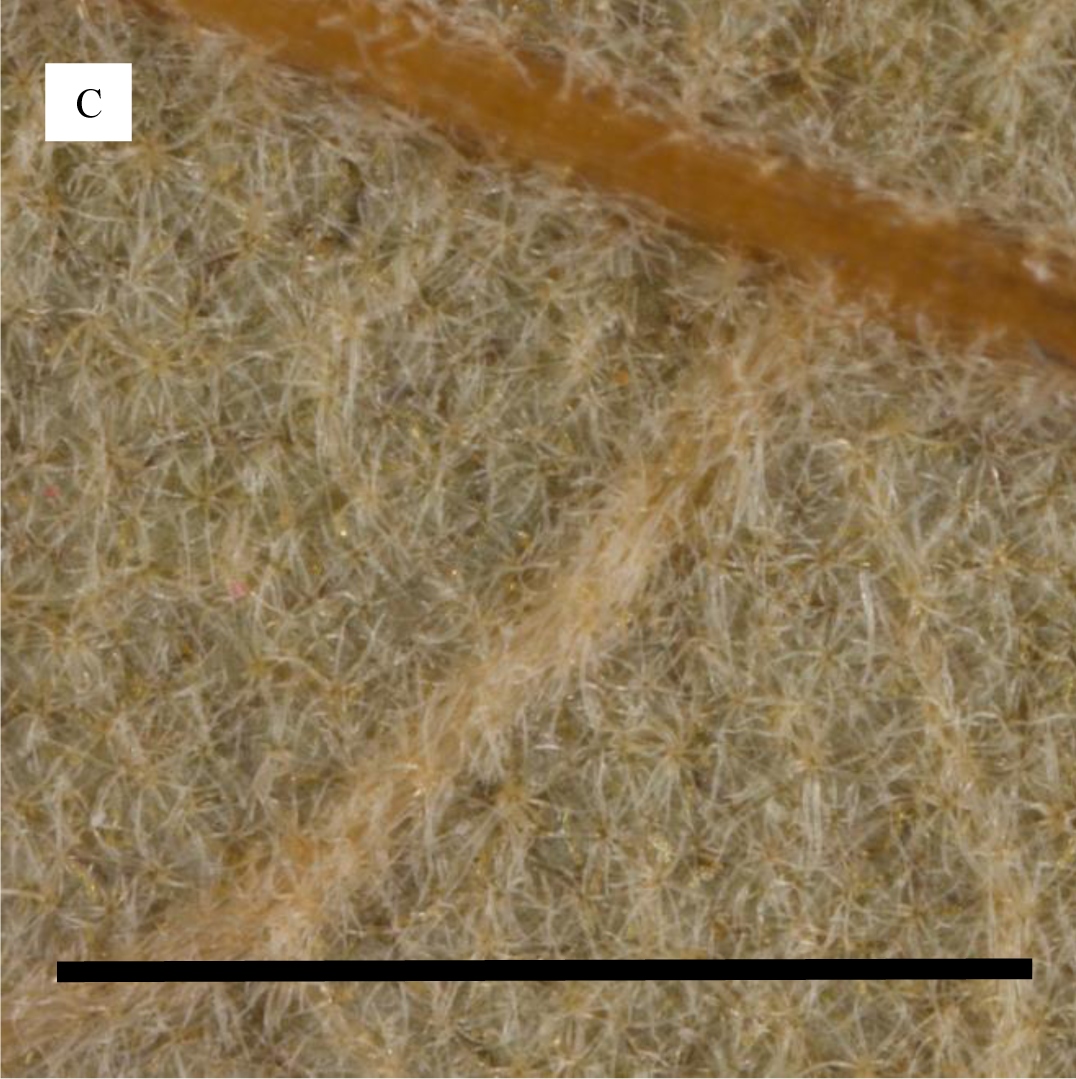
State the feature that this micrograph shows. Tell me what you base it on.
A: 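Stellate trichomes. The leaf surface is covered by a dense mat of pale hairs. Individual hairs radiate from common central points like small stars.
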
